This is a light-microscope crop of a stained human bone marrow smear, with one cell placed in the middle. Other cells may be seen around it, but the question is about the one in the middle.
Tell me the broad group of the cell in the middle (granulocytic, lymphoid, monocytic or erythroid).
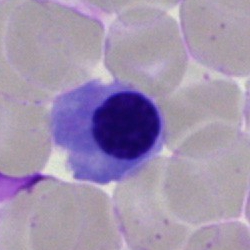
erythroid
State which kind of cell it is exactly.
erythroblast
